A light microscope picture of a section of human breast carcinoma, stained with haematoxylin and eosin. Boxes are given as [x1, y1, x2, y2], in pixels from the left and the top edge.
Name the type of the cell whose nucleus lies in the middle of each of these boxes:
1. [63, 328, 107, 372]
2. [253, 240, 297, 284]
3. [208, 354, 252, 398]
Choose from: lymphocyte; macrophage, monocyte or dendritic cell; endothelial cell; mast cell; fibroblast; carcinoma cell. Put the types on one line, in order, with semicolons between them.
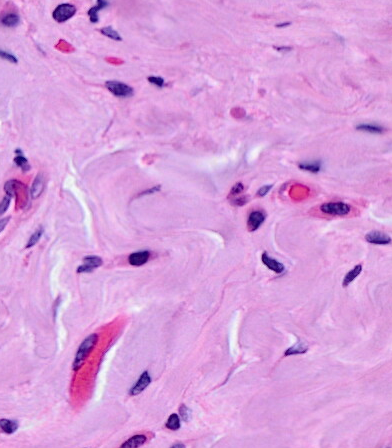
endothelial cell; fibroblast; fibroblast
